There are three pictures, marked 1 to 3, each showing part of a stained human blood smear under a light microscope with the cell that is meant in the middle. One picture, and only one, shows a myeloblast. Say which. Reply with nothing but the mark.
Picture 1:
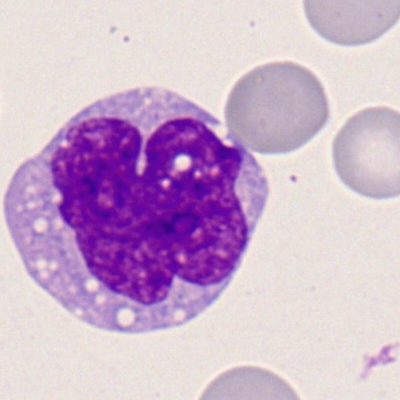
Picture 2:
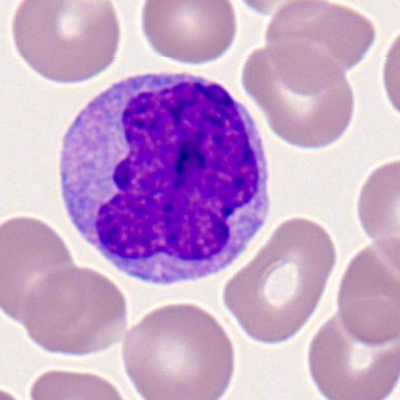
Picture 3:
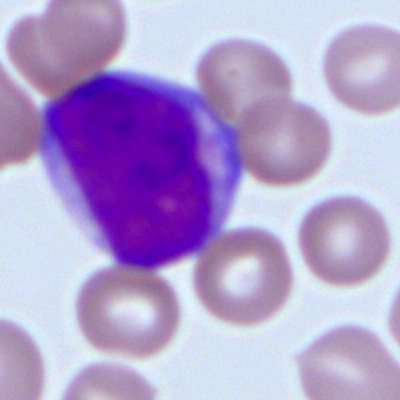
3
